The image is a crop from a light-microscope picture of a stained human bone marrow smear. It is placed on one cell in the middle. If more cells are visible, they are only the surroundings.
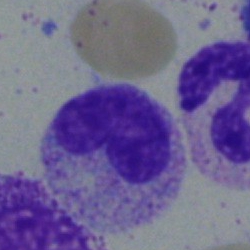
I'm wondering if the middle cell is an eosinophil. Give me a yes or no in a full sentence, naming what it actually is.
No, the cell centered in the crop is a band neutrophil, not an eosinophil.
